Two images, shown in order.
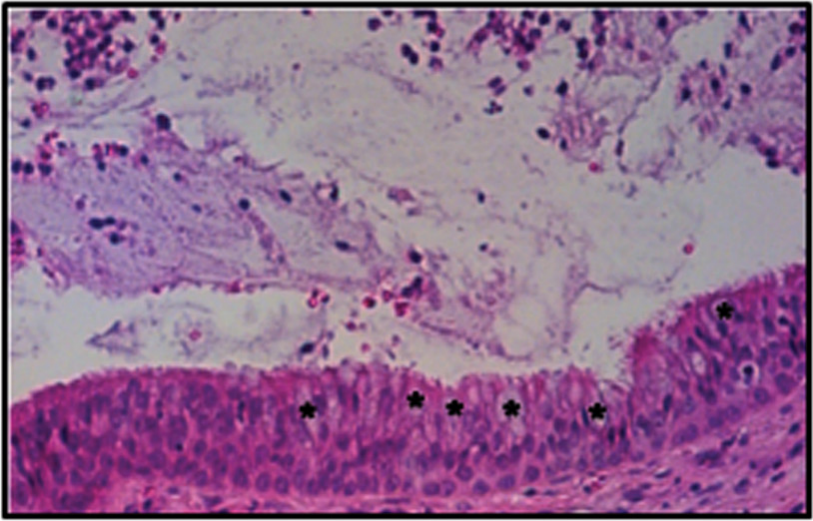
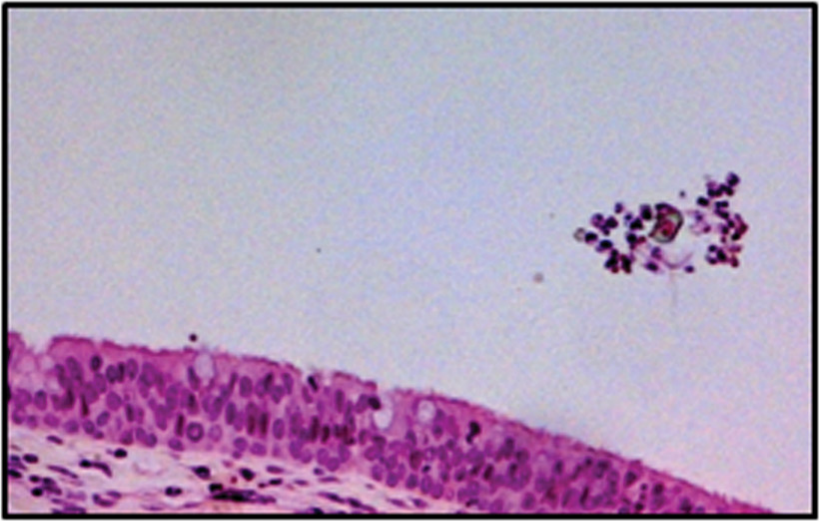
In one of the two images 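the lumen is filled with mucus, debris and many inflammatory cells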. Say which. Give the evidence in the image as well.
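First image: the lumen above the epithelium is filled with pale streaky material and many scattered cells. Second image: the lumen is largely clear, with only one small cluster of cells.
The first image.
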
